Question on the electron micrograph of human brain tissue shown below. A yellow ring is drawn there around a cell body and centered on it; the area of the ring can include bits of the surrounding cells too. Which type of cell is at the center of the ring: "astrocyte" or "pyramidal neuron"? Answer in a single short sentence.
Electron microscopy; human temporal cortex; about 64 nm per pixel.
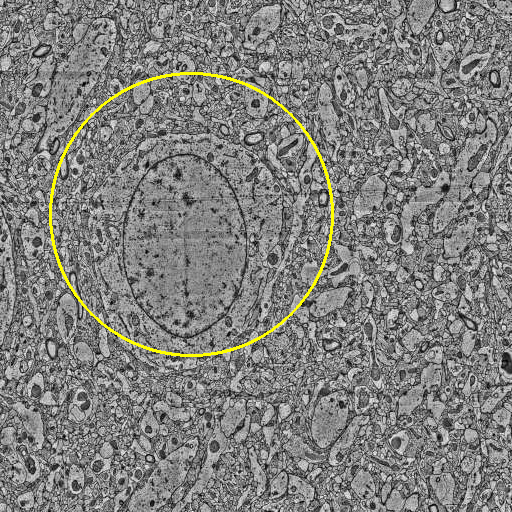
The ring is centered on a pyramidal neuron.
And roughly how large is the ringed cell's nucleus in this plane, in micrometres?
In this plane, the nucleus is roughly 12 by 8 micrometres.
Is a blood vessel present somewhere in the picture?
No, the image shows no blood vessel.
